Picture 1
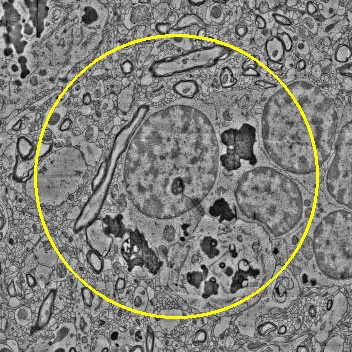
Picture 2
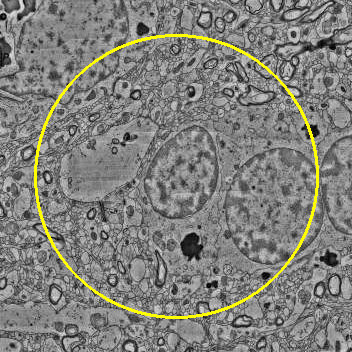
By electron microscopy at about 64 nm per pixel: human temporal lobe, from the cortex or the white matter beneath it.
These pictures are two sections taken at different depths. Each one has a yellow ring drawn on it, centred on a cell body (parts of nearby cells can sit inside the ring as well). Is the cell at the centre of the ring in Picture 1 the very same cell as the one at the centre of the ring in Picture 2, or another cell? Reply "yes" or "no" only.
yes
